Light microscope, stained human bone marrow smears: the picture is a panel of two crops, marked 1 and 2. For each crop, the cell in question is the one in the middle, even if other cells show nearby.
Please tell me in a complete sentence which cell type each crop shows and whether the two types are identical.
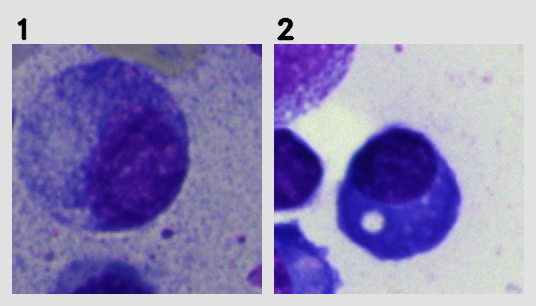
No, the cell shown in crop 1 is a promyelocyte, and the cell shown in crop 2 is a plasma cell.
